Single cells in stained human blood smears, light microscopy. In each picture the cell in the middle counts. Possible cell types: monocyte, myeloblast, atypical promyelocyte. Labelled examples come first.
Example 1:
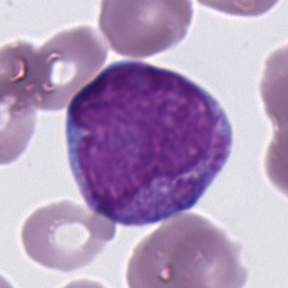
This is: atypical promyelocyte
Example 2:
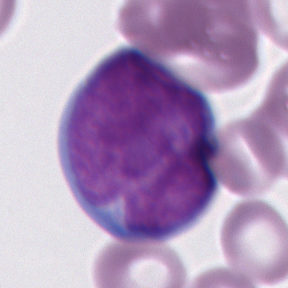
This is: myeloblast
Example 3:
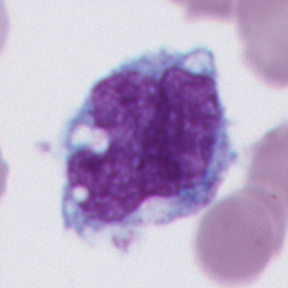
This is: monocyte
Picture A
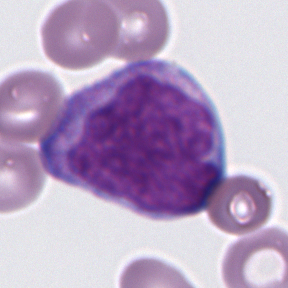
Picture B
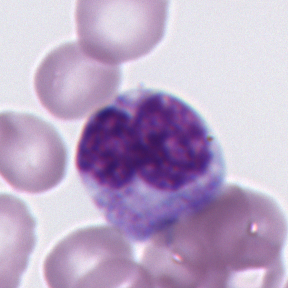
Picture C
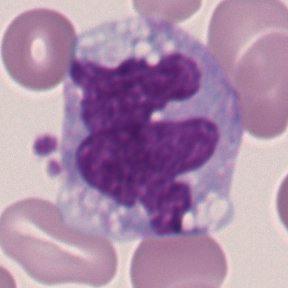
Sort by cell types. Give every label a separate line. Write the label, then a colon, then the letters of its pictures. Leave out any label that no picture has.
monocyte: B, C
atypical promyelocyte: A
